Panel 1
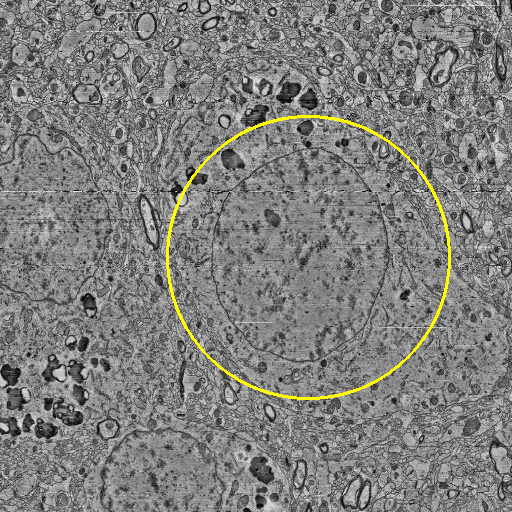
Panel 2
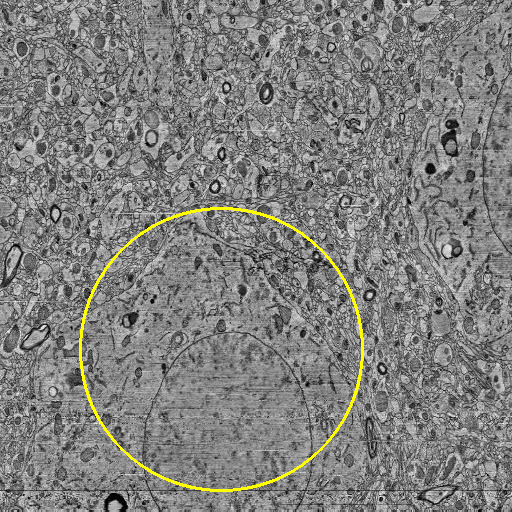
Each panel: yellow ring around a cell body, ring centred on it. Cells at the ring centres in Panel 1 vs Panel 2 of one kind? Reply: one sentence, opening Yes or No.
Yes, Panel 1 and Panel 2 have cells of one kind at the ring centres.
